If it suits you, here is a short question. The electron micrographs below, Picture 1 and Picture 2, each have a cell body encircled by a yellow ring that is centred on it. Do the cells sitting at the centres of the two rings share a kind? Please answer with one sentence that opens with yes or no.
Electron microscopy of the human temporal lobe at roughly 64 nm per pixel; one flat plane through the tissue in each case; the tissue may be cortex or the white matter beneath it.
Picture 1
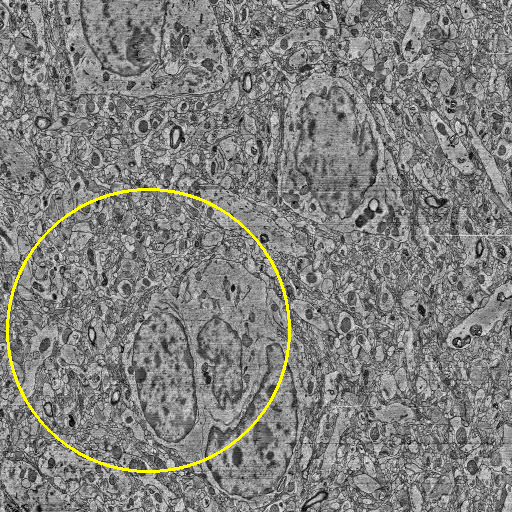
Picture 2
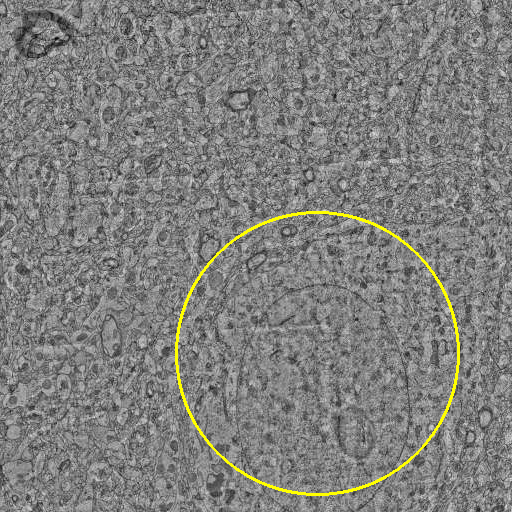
No, the two cells sitting at the ring centres fall into two kinds.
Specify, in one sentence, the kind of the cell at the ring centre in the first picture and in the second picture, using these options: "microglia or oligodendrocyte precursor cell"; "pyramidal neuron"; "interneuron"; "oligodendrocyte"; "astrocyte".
So the first is a microglial cell or oligodendrocyte precursor cell, the second a pyramidal neuron.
